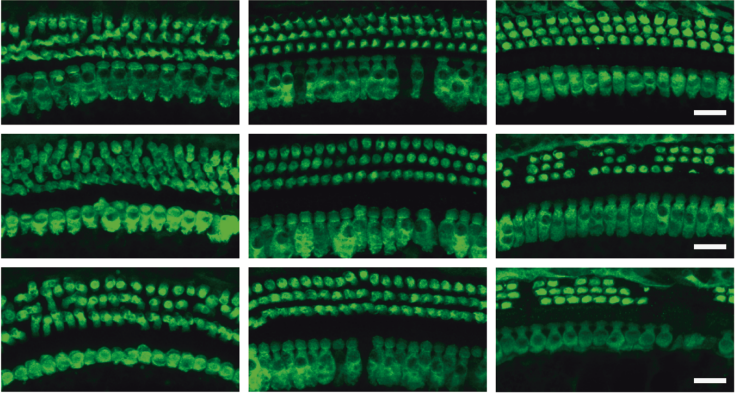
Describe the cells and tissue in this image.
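This is a grid of nine surface views of the cochlear sensory epithelium, in which hair cells are labelled green. In each view, several upper rows of small, rounded outer hair cells lie above a single lower row of larger, flask-shaped inner hair cells. In some views the outer hair cells stand in orderly, evenly spaced rows, with no gaps. In other views, especially toward the right-hand column, the rows of outer hair cells are broken by gaps where cells are missing.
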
